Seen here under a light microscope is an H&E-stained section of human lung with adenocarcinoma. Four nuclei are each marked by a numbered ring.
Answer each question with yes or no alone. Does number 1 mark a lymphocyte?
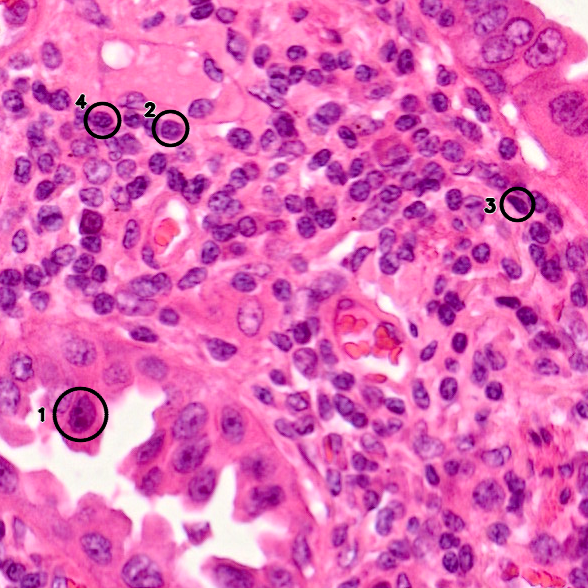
no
